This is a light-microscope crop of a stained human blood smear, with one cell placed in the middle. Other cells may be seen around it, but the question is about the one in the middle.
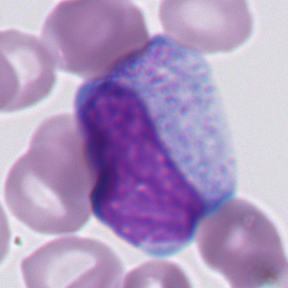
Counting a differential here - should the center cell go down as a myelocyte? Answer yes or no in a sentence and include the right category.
No, this is not a myelocyte at all; the cell in the middle is a promyelocyte.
